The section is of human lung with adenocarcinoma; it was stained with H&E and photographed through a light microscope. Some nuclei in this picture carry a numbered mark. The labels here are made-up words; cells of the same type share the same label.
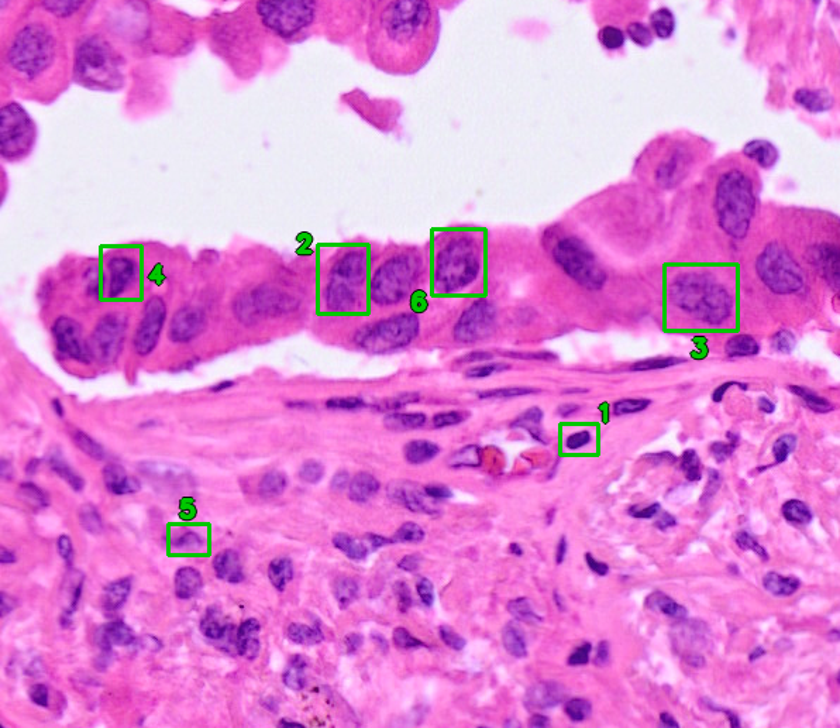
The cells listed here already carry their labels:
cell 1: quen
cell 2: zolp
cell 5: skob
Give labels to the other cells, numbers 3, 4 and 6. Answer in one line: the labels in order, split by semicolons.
zolp; zolp; zolp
